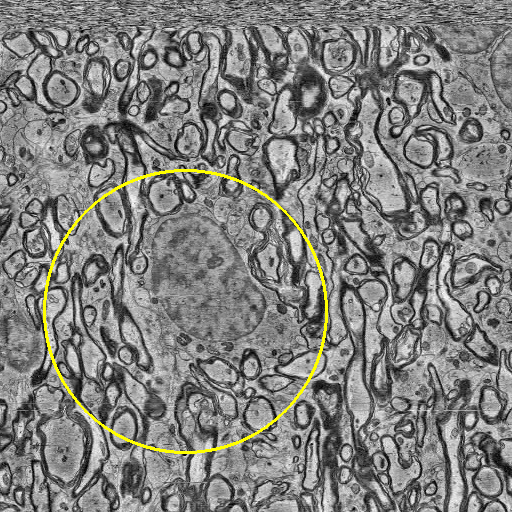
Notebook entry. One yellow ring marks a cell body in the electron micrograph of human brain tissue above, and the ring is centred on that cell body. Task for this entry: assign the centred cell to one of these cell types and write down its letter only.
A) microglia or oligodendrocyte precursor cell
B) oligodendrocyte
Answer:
B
